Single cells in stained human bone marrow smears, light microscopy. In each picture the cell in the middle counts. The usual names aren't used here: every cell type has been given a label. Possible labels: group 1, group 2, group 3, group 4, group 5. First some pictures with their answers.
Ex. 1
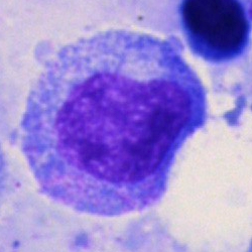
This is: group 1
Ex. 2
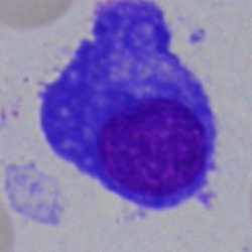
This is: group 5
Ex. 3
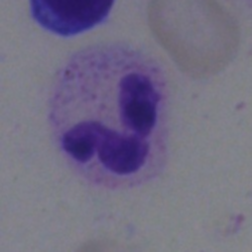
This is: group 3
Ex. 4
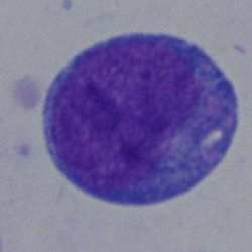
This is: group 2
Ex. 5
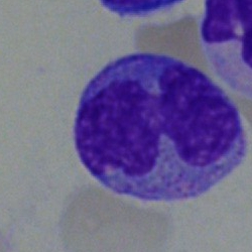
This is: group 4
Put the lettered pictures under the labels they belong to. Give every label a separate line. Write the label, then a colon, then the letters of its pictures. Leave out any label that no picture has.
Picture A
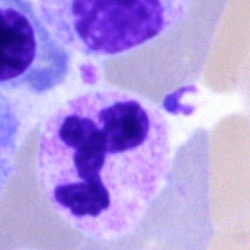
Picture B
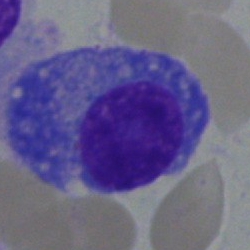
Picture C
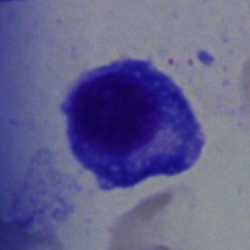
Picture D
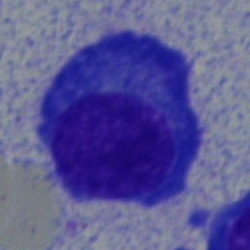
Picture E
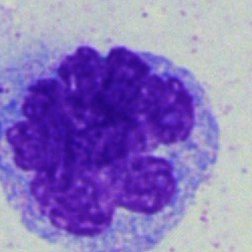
group 3: A
group 4: E
group 5: B, C, D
